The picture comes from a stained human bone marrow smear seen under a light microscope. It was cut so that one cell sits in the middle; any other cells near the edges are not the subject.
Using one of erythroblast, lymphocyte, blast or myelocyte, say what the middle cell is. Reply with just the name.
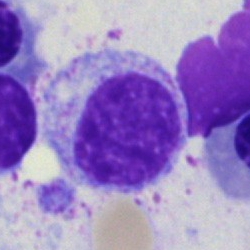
myelocyte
